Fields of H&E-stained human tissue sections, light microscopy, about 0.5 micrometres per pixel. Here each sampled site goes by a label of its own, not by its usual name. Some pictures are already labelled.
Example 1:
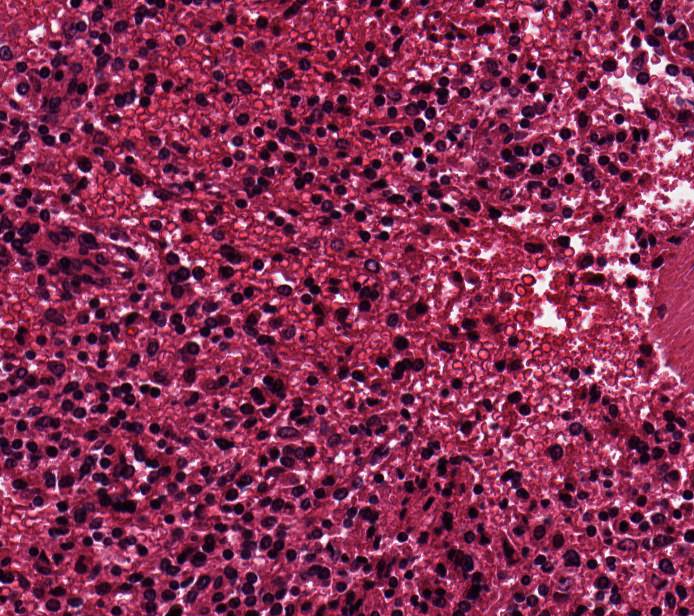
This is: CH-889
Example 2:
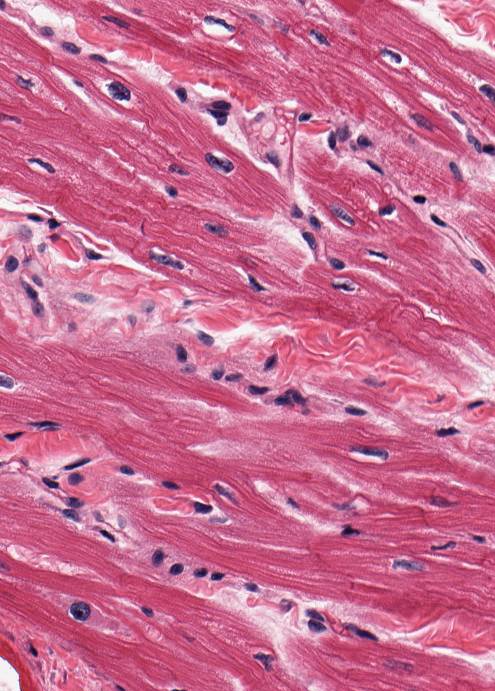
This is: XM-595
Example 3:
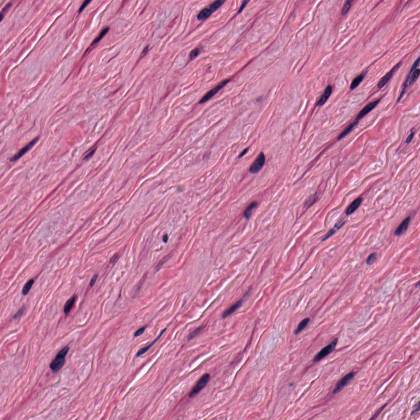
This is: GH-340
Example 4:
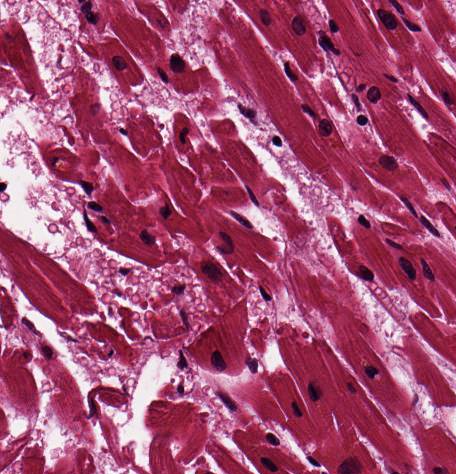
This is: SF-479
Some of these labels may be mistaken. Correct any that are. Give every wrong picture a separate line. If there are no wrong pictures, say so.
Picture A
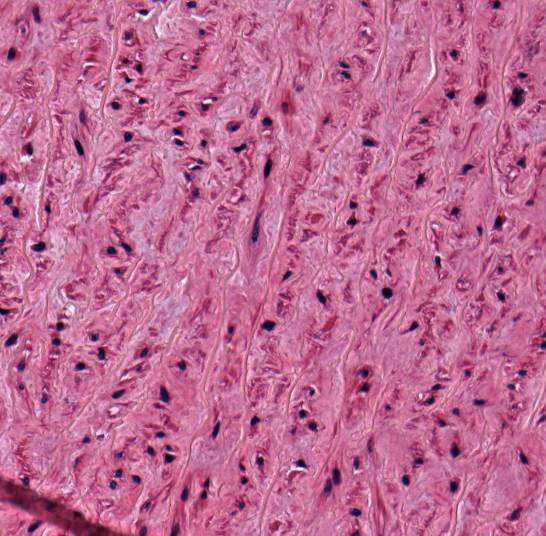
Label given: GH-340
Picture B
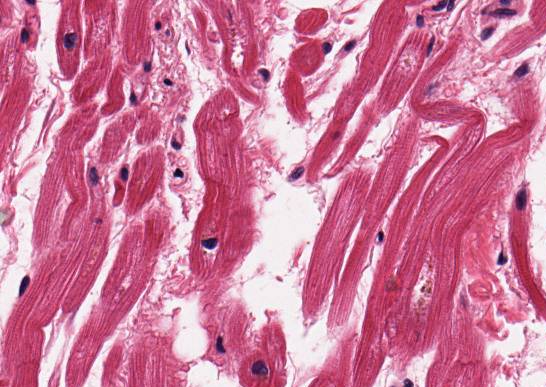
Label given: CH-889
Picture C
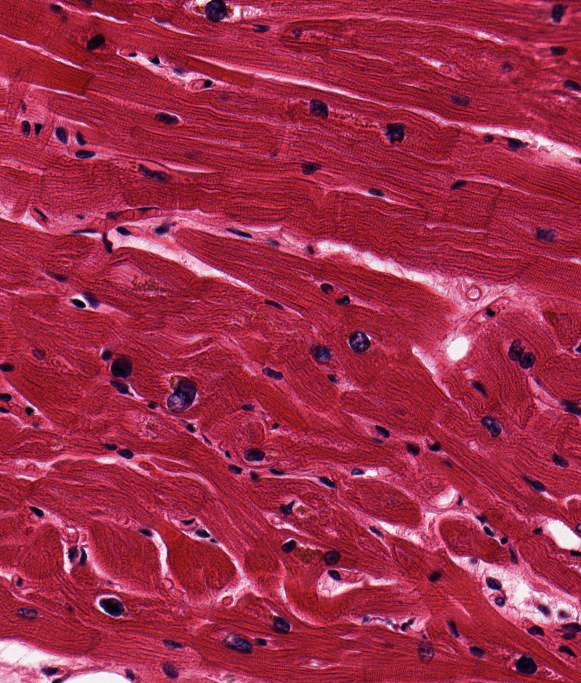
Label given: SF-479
B should be XM-595, not CH-889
